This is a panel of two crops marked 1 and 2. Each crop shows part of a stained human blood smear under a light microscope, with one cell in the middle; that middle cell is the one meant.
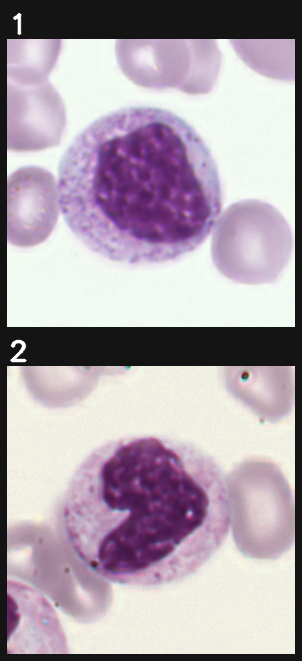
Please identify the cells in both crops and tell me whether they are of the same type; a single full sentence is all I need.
No, crop 2 shows a band neutrophil, and crop 1 shows a metamyelocyte.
